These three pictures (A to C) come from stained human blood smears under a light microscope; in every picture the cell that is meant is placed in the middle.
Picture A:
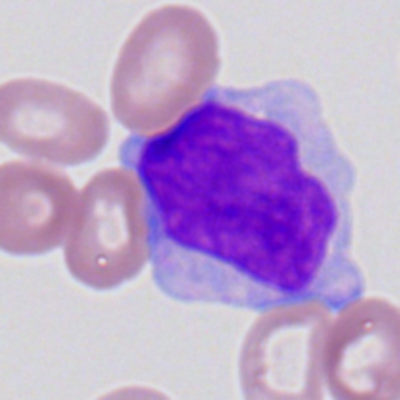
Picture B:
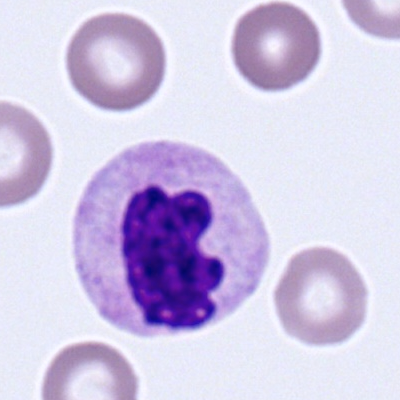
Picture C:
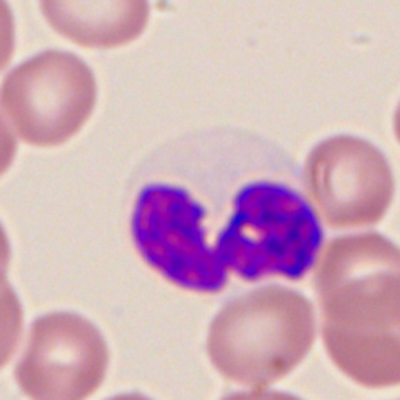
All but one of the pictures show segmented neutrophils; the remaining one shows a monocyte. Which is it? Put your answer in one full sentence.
The cell in picture A is the monocyte.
